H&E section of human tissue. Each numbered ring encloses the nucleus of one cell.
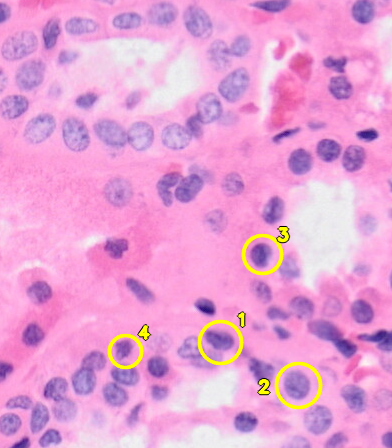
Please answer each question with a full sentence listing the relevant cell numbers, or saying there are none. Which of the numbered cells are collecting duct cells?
The cells carrying the numbers 1, 2 and 4 are collecting duct cells.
